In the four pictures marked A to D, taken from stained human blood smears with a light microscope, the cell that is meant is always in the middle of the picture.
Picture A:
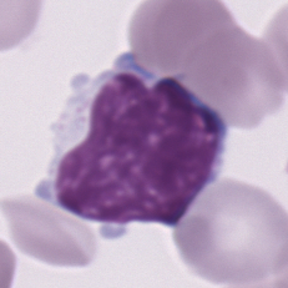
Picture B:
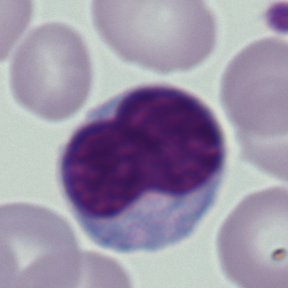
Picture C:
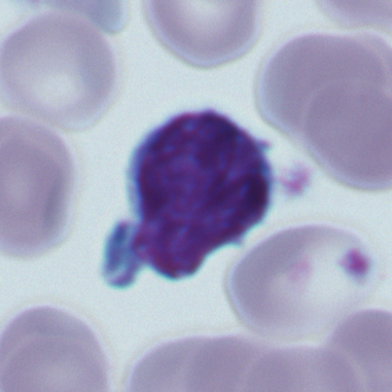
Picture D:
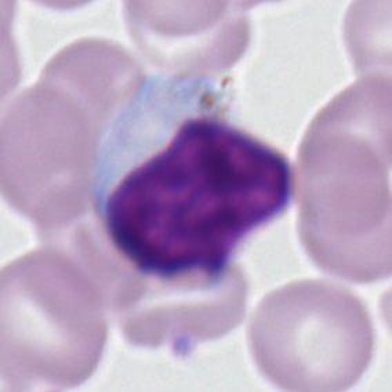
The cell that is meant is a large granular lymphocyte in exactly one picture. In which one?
A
